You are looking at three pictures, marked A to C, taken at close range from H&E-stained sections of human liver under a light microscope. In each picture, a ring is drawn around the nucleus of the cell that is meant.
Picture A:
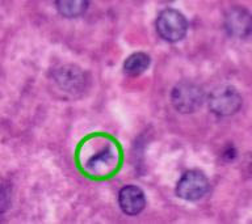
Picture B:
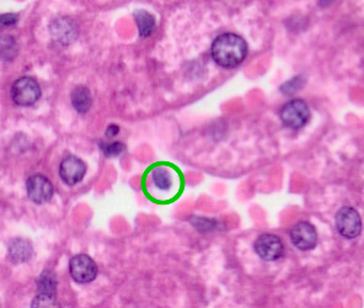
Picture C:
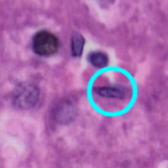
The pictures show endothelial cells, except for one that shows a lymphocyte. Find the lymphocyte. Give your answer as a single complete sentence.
Picture B is the one that shows the lymphocyte.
